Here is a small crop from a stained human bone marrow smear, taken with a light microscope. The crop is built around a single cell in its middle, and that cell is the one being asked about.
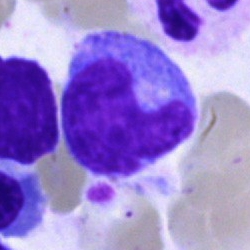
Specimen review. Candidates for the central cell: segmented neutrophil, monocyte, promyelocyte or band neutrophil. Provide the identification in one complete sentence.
The cell under consideration, at the middle of the crop, is a monocyte.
